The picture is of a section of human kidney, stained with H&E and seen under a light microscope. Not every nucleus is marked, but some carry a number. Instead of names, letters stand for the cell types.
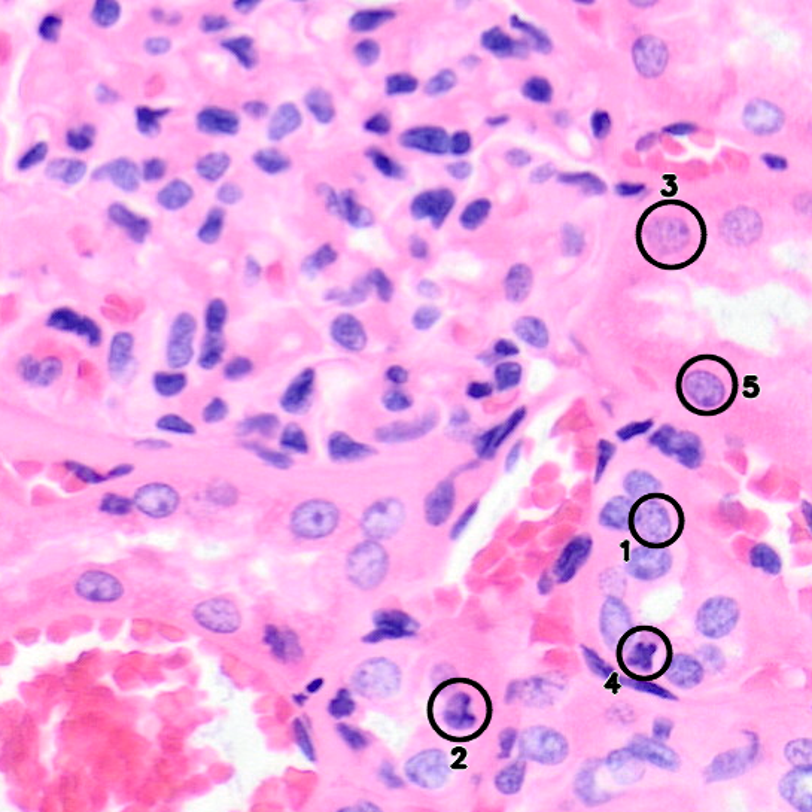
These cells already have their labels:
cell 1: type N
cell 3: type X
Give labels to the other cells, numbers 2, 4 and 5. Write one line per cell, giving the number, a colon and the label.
2: type N
4: type N
5: type X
